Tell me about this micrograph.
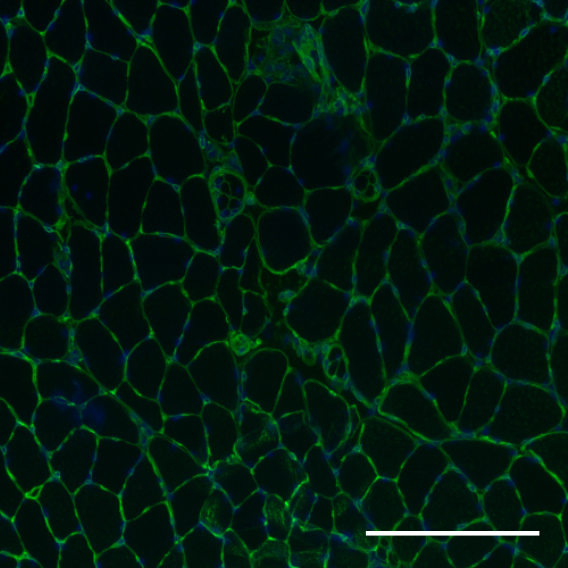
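Dark polygonal profiles, each rimmed by a thin green line, pack the field edge to edge. Between some groups of profiles the green seams widen into small patches containing faint blue-tinged material and a few round, ring-like structures that look like small vessels cut across. The profiles vary somewhat in size, with several appearing fairly large.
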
